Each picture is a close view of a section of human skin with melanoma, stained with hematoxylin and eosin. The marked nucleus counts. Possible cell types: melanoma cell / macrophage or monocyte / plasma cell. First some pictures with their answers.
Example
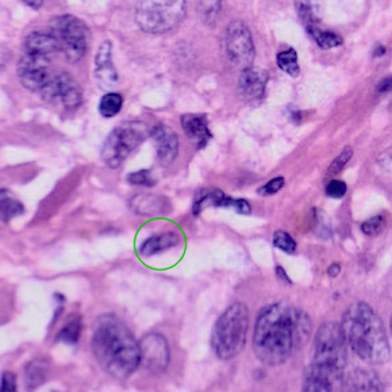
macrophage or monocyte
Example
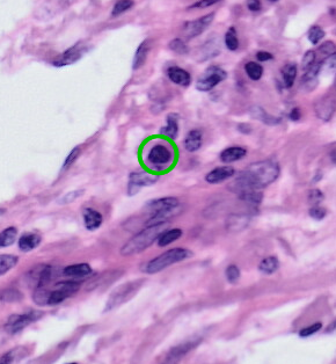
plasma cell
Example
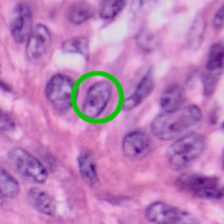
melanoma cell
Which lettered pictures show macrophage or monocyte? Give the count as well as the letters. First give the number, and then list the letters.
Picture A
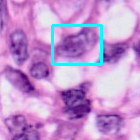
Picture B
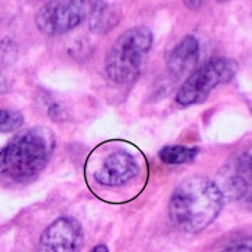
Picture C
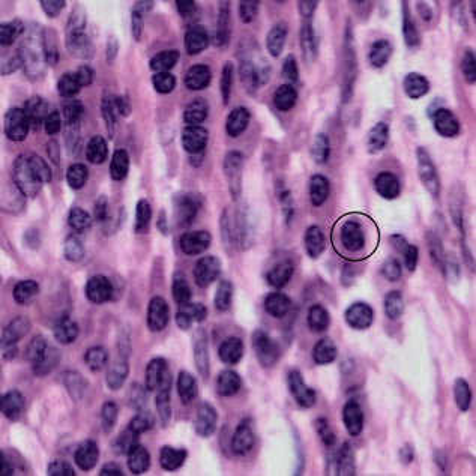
0, none of them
